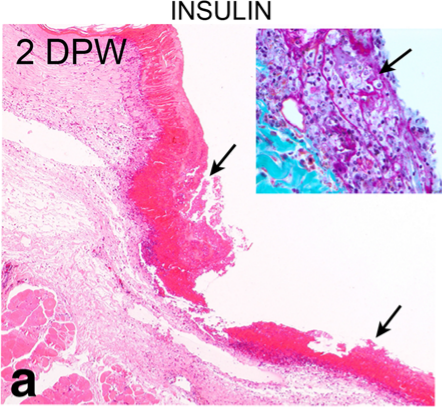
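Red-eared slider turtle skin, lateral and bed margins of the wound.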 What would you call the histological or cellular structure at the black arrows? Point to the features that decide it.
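Fibrin. The arrows point to this eosinophilic layer at the surface.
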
